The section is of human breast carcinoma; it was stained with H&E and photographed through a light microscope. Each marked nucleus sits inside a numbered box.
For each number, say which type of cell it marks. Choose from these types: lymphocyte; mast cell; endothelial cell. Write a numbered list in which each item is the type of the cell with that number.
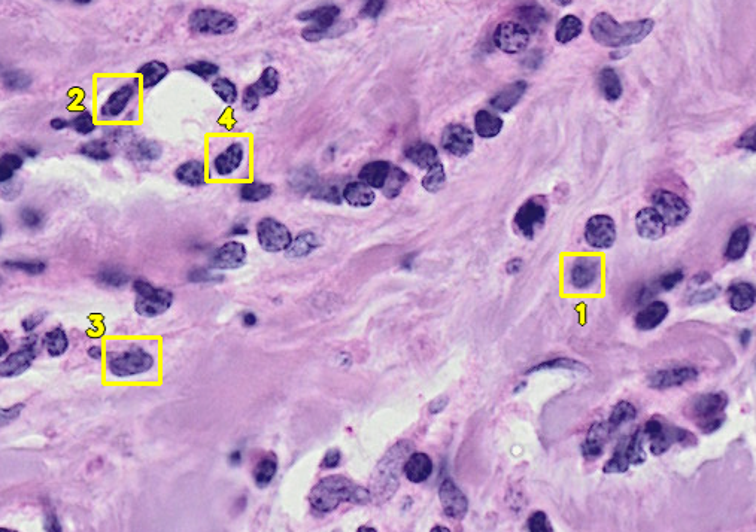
1. mast cell
2. lymphocyte
3. lymphocyte
4. lymphocyte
